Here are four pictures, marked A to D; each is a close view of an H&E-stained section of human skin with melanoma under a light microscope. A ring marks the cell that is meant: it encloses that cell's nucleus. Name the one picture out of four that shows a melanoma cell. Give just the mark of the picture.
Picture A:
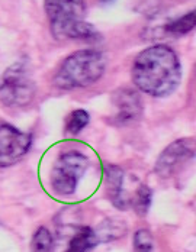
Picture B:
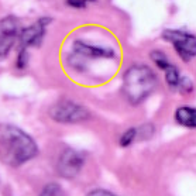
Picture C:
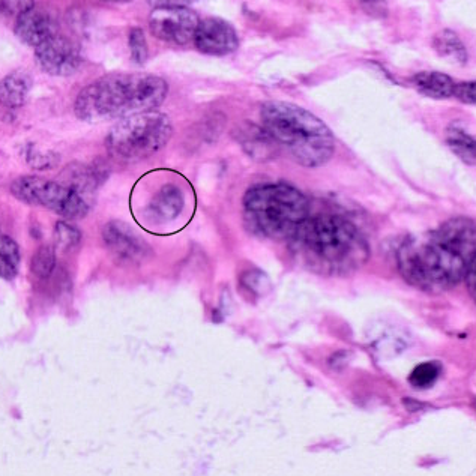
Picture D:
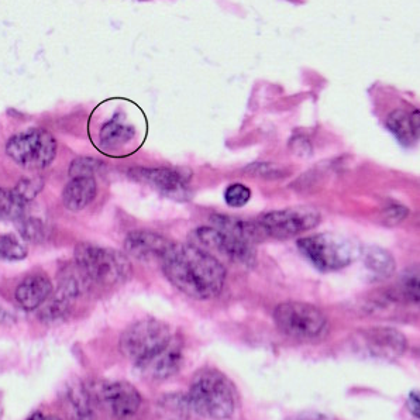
A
